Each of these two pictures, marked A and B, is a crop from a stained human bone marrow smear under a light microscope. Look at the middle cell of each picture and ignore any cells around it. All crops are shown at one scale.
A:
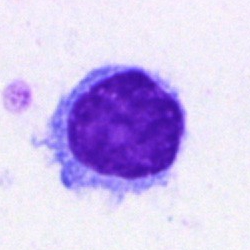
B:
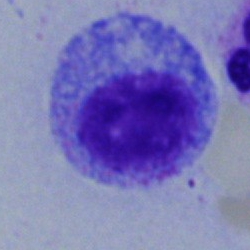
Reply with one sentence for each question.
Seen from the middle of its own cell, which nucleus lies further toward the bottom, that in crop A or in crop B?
Seen within its cell, the nucleus in crop B lies further toward the bottom.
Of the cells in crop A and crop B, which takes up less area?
The cell in crop A is smaller; the one in crop B has about 1.5 times its area.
